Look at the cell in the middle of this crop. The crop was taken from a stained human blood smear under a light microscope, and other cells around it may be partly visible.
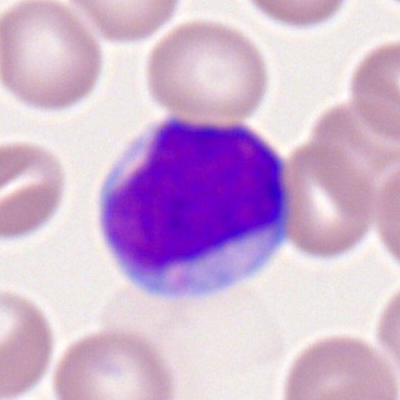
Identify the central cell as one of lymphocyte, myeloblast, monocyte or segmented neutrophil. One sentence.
Seen at the centre of the crop is a myeloblast.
